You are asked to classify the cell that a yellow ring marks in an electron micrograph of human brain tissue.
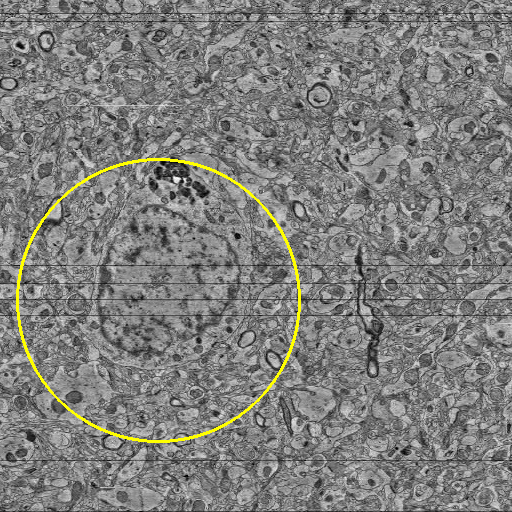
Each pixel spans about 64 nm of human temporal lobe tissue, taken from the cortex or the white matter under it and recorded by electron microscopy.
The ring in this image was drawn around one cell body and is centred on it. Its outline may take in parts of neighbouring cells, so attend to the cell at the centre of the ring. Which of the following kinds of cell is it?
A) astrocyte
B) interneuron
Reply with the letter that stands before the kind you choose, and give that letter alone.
B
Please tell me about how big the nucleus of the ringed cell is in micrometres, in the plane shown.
Approximately 9 micrometres across, in this plane.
